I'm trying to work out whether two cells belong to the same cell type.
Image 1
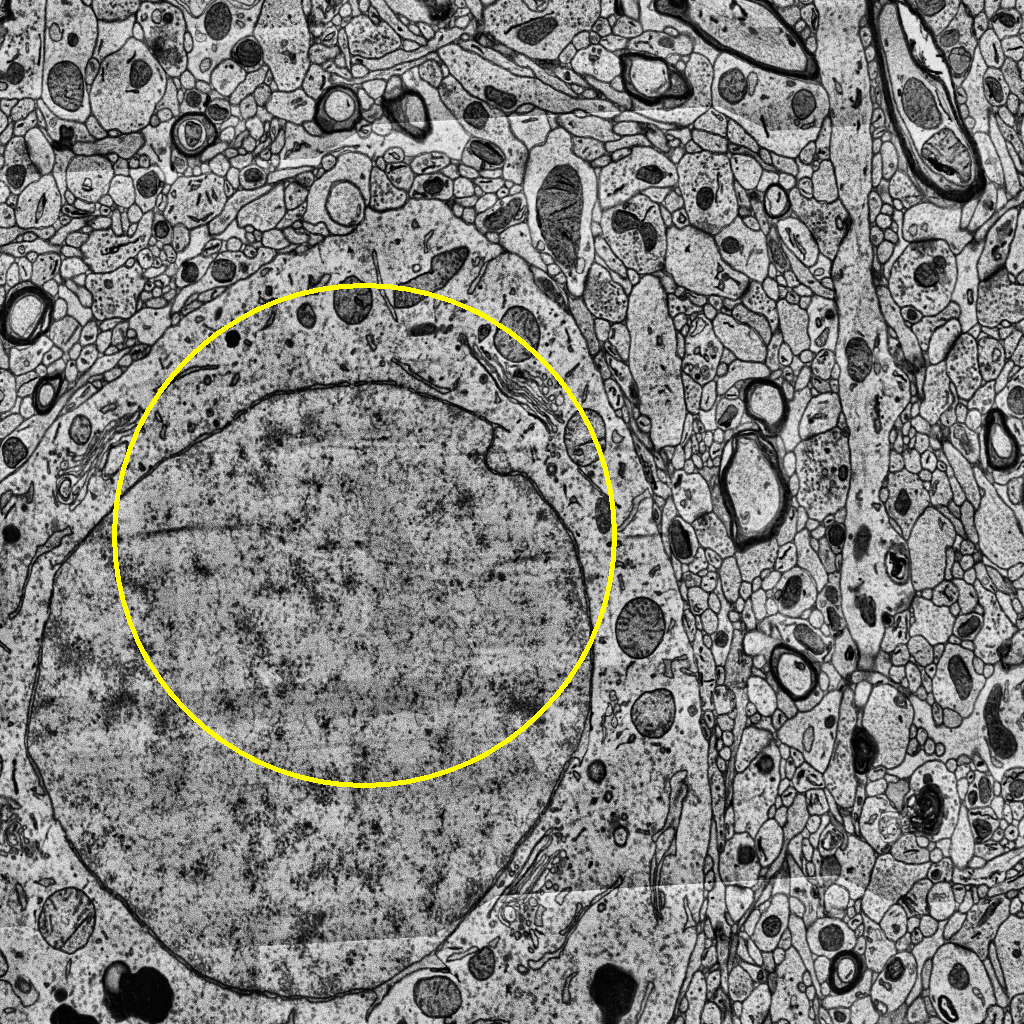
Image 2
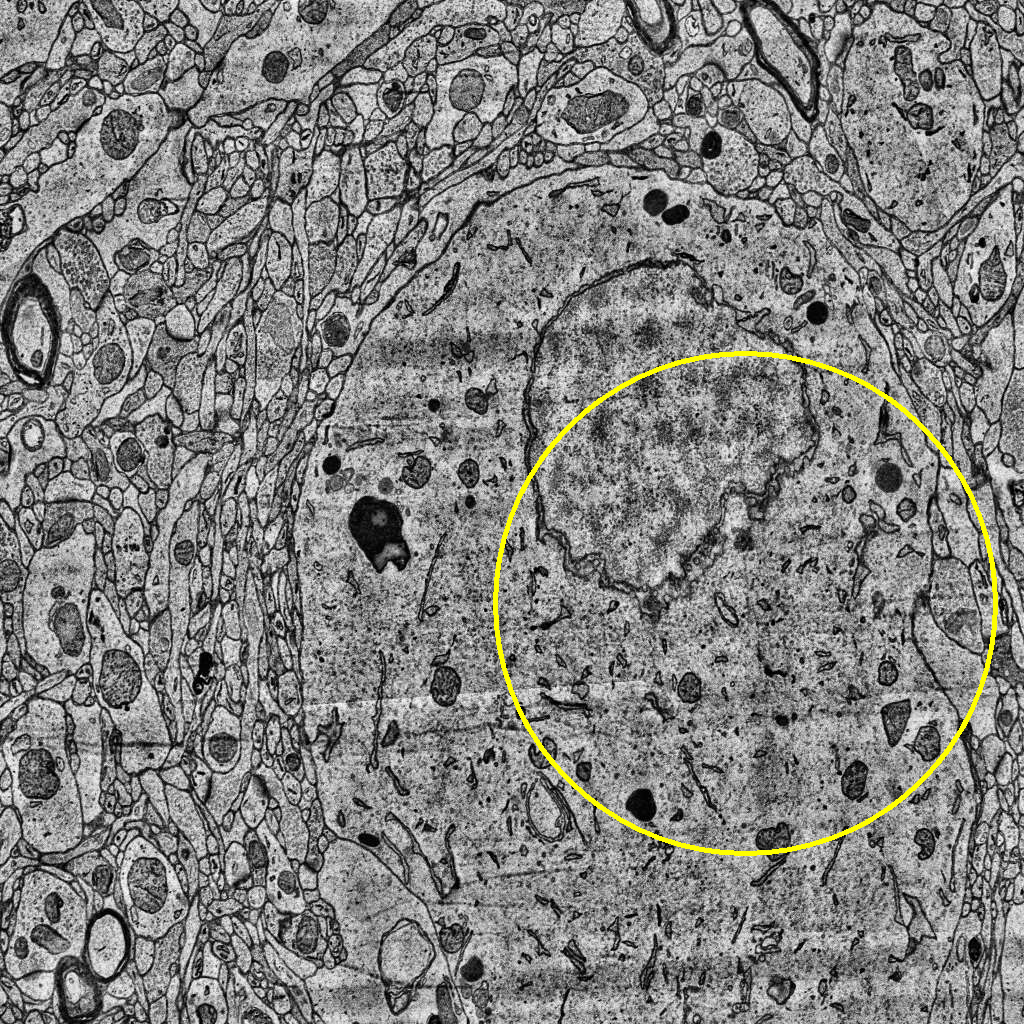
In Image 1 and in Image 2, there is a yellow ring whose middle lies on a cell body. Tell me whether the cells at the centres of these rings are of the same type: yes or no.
yes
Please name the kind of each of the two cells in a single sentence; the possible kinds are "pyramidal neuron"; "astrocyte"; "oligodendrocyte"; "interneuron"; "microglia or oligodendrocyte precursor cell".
The cell in the first picture is a pyramidal neuron, and so is the one in the second.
